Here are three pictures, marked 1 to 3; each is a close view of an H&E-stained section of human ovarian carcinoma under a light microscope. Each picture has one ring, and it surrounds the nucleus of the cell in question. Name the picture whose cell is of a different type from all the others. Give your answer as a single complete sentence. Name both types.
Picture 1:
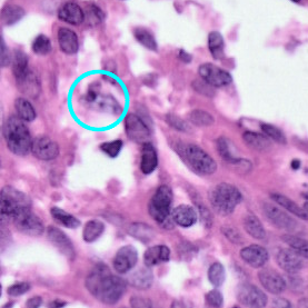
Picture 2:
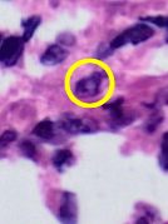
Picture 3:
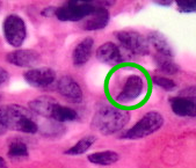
The different one is picture 3; it shows a carcinoma cell, whereas all the others show “macrophages or monocytes”.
